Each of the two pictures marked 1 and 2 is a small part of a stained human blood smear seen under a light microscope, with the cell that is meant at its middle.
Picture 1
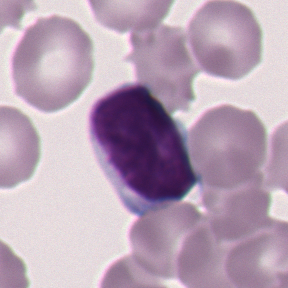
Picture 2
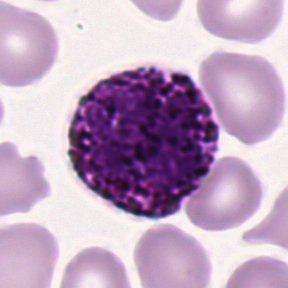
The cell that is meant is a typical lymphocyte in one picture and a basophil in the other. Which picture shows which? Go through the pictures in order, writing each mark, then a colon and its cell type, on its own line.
1: typical lymphocyte
2: basophil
